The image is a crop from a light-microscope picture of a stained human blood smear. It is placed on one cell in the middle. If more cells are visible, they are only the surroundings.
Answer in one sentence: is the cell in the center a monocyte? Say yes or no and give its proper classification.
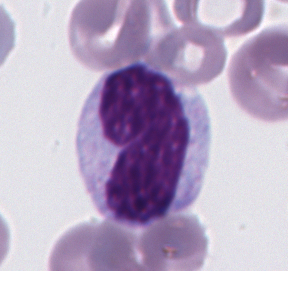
No, the middle cell is actually a band neutrophil rather than a monocyte.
